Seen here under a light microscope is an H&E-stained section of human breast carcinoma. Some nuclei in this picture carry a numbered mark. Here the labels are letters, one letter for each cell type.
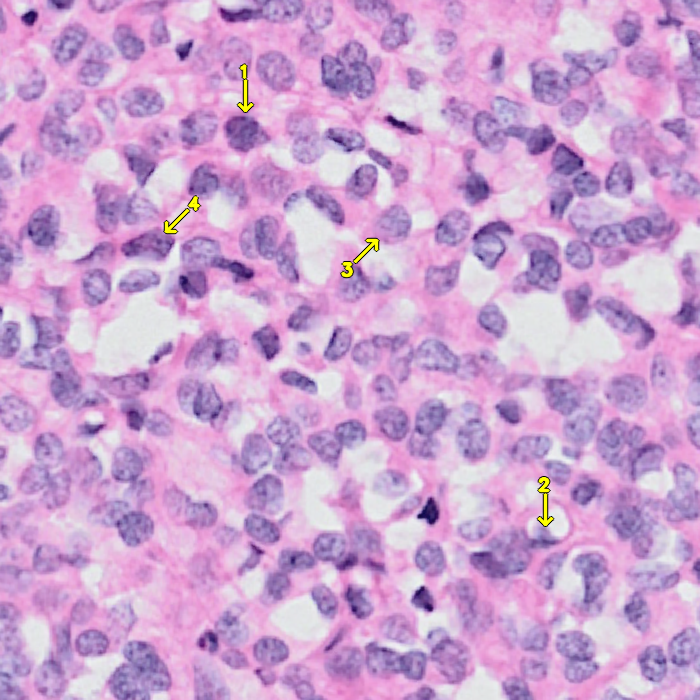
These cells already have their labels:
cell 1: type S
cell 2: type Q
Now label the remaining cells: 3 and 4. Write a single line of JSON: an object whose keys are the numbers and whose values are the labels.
{"3": "type S", "4": "type S"}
